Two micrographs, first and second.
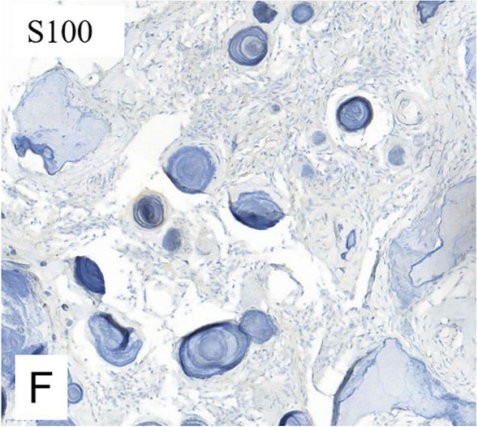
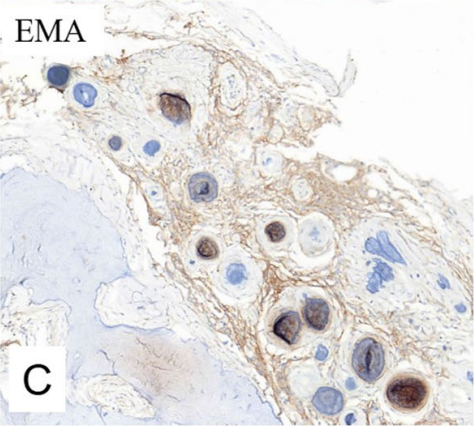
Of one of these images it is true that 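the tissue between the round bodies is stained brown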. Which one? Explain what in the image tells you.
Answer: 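The second image. First image: the stroma between the round bodies is blue with no brown. Second image: a brown fibrillar network lies among the round bodies.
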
